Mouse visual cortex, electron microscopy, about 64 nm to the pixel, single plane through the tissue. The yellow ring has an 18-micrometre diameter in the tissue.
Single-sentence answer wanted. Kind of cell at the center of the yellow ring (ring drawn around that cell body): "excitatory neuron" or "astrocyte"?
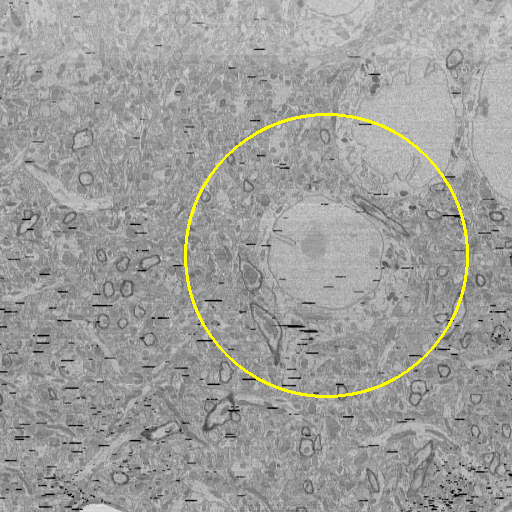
The cell centered in the ring is an excitatory neuron.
